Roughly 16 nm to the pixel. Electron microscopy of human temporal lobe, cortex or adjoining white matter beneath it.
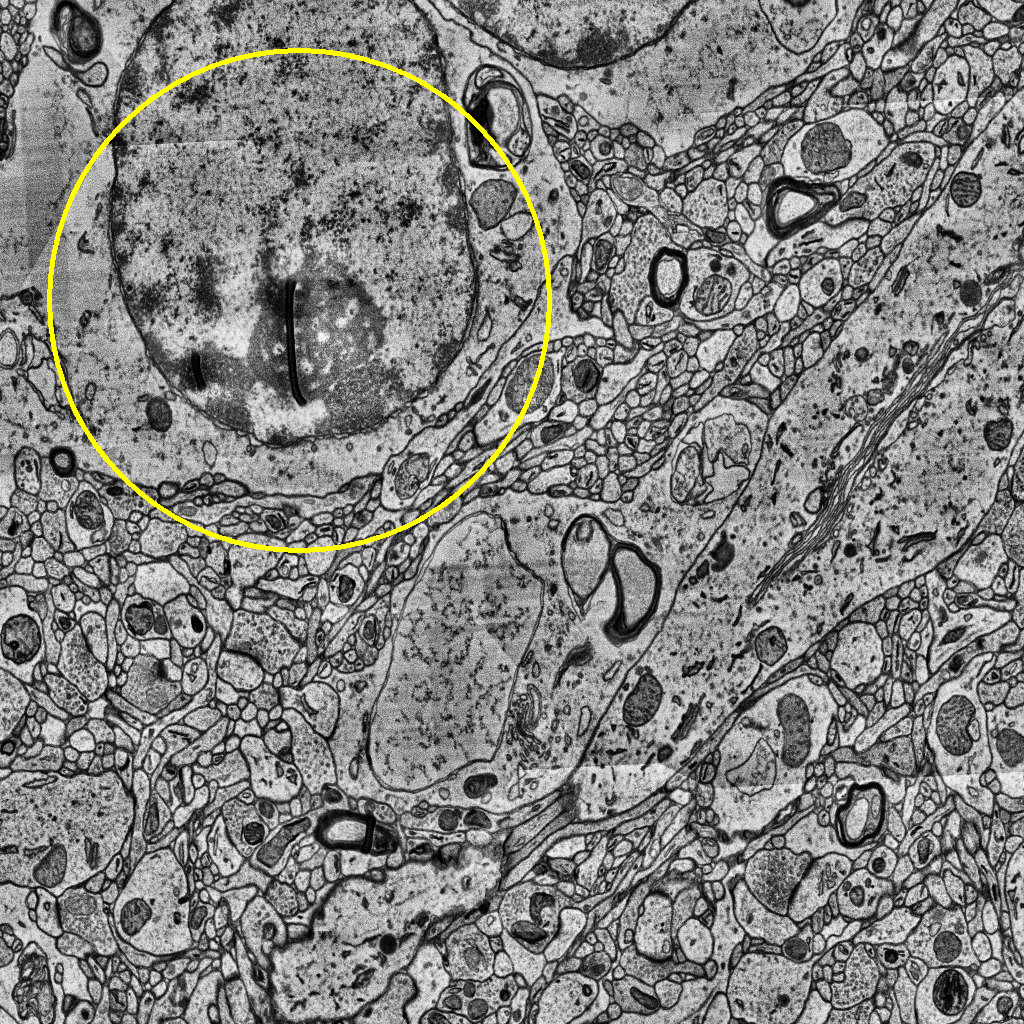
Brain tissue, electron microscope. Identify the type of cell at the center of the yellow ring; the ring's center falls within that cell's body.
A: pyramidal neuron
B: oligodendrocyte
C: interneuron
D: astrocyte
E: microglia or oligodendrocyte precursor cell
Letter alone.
D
